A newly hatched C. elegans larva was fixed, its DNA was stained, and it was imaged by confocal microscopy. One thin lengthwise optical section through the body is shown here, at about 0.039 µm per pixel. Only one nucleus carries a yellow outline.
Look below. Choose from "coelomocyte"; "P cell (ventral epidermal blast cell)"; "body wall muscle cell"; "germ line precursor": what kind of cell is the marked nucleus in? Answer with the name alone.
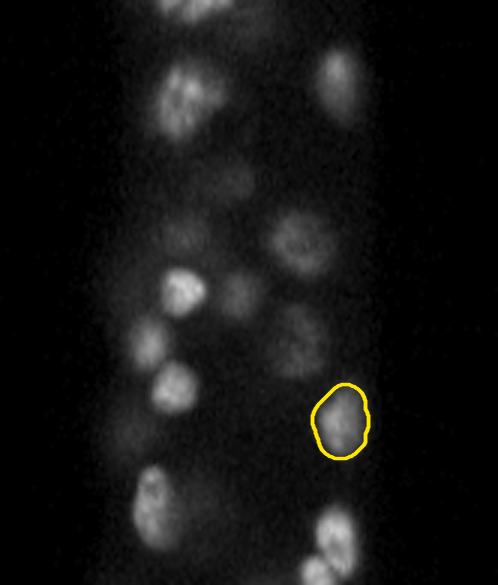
body wall muscle cell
